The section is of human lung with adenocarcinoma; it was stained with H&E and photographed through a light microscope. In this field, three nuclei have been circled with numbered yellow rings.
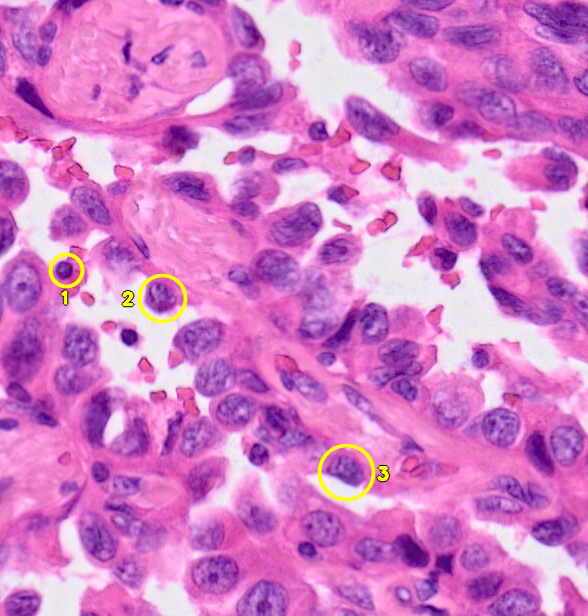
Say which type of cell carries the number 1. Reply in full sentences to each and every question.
The cell numbered 1 has been identified as a lymphocyte.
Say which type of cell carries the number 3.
The cell referenced by the number 3 is a carcinoma cell in this field.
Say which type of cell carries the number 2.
Here, the cell given the number 2 is a carcinoma cell.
